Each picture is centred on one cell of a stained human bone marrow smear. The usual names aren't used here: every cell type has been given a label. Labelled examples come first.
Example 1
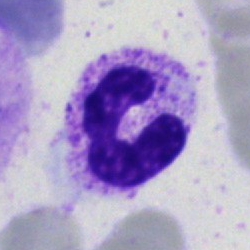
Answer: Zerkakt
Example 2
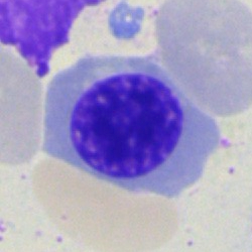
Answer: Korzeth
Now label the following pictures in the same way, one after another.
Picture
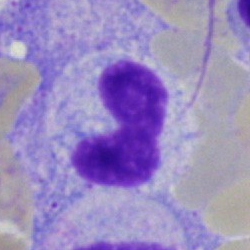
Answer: Zerkakt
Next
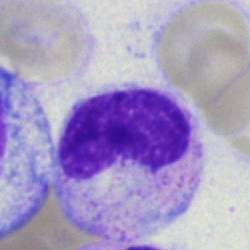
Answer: Zerkakt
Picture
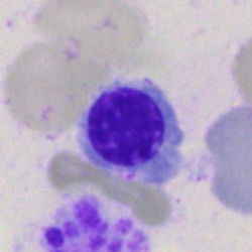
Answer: Korzeth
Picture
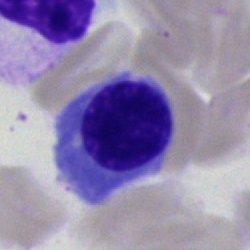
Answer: Korzeth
